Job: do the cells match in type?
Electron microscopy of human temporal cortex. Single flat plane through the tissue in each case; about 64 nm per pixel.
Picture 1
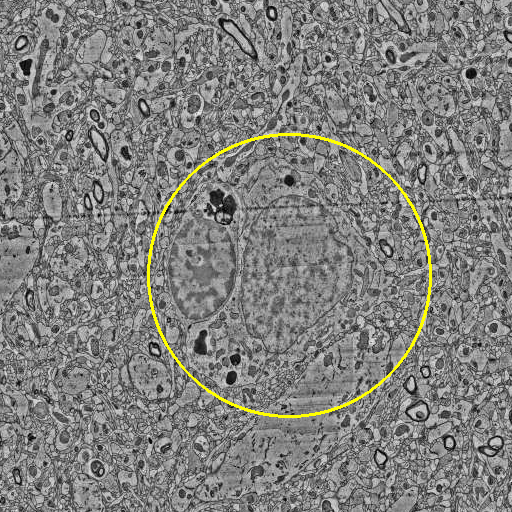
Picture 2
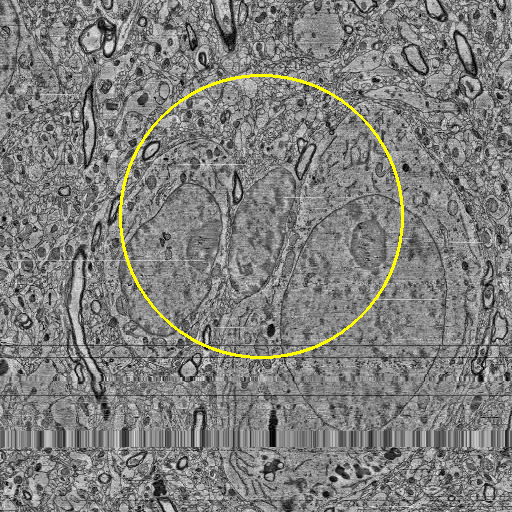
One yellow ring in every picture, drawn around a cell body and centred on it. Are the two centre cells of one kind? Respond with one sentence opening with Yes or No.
No, the ringed cells in the two pictures are of two separate kinds.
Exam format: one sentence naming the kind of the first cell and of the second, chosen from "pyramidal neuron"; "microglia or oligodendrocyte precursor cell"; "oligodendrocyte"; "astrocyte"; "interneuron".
The first picture's cell is an interneuron, and the second picture's cell is an oligodendrocyte.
